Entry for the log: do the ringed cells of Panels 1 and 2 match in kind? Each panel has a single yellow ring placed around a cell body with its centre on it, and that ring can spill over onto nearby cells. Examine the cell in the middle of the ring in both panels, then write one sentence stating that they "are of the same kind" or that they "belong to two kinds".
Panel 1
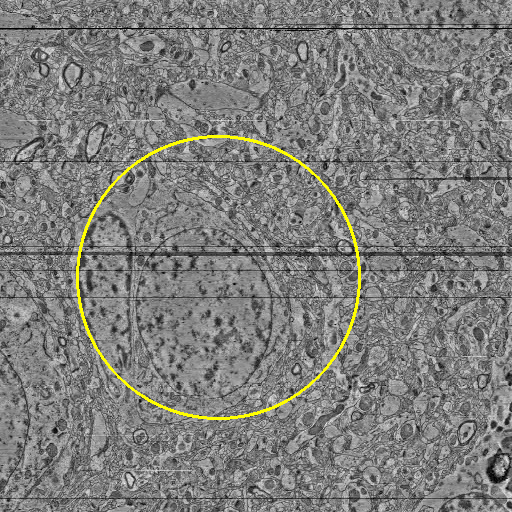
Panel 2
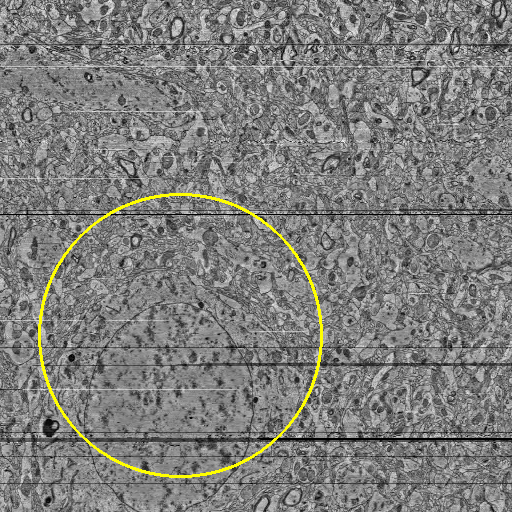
The centre cell of Panel 1's ring and that of Panel 2's ring are of the same kind.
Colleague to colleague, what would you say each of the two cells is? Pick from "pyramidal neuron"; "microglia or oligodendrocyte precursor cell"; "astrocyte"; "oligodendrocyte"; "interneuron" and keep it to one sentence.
The cell at the ring centre is a pyramidal neuron in both pictures.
